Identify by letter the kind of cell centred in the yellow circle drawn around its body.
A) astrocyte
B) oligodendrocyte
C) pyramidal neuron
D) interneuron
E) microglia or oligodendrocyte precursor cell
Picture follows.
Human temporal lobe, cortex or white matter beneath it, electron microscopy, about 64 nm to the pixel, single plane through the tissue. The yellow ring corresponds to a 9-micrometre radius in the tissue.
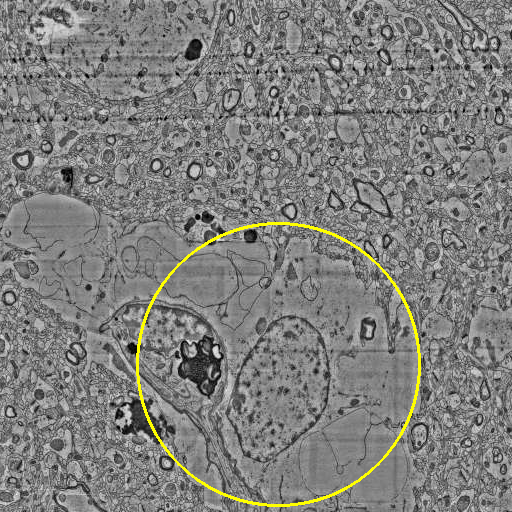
A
